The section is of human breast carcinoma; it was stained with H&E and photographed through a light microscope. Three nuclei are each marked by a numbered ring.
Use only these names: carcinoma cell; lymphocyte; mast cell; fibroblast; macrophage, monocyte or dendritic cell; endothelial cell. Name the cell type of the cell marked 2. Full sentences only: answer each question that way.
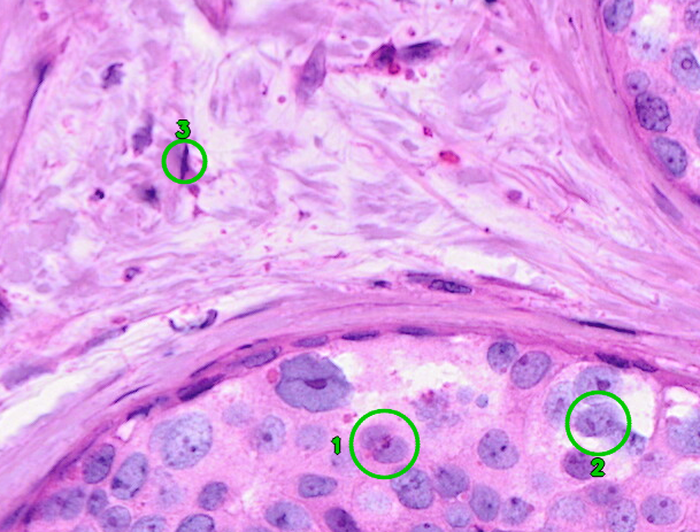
Cell 2, as marked in the section, is a carcinoma cell.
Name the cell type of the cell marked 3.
The marked nucleus 3 is that of a fibroblast.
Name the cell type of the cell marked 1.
Among the marked nuclei, number 1 belongs to a carcinoma cell.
